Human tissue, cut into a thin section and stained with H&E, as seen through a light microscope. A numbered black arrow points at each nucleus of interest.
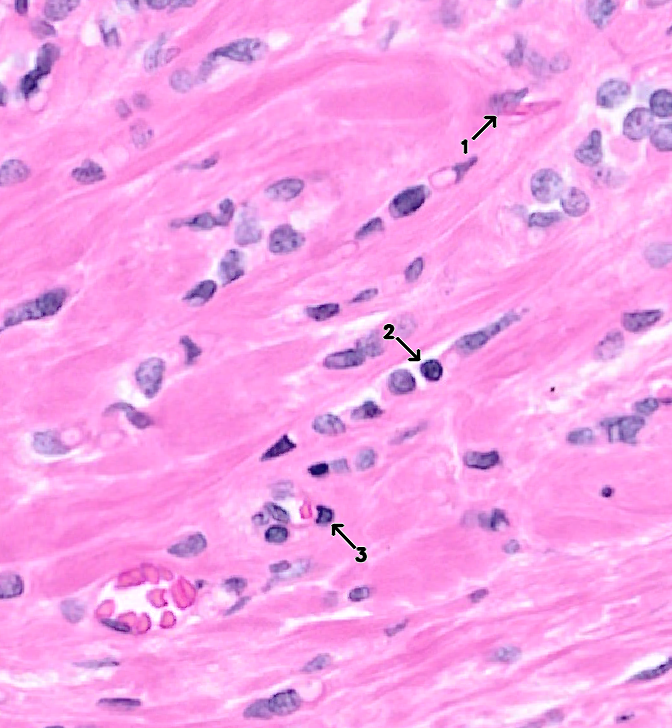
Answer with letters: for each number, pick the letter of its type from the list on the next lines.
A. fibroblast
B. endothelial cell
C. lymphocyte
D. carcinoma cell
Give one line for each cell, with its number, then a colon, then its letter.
1: B
2: C
3: B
